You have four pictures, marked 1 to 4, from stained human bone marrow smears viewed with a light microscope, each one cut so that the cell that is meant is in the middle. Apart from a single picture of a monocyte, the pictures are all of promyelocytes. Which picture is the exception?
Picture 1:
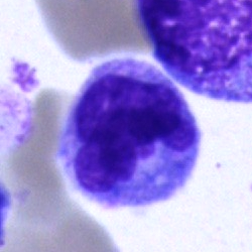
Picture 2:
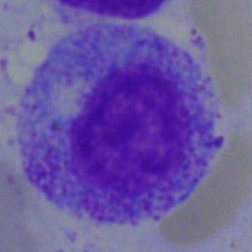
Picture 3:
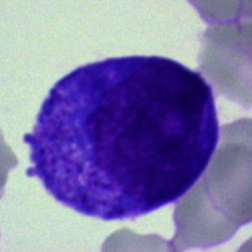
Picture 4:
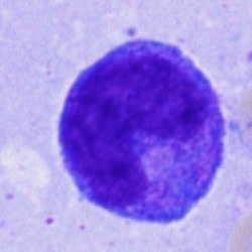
1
